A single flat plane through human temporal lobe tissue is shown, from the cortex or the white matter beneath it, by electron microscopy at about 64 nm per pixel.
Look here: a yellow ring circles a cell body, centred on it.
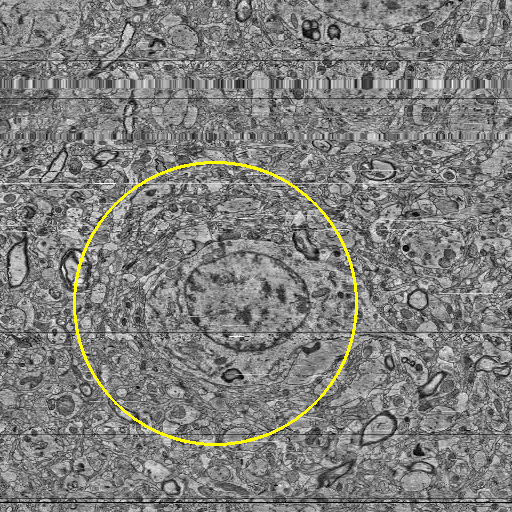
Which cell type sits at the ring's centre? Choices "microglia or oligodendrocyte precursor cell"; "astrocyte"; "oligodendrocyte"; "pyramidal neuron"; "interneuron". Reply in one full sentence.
The cell at the centre of the yellow ring in the picture is a pyramidal neuron.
